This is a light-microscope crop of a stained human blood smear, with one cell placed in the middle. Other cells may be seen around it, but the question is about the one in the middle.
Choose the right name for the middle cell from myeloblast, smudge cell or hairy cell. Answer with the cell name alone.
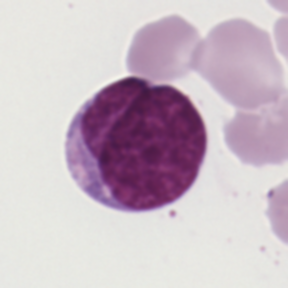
myeloblast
